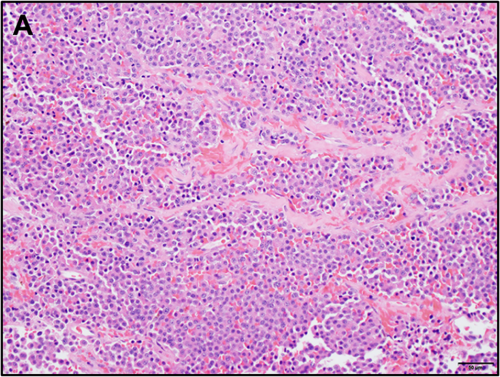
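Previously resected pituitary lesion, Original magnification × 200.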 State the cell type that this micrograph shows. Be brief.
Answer: Monotonous neoplastic cells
